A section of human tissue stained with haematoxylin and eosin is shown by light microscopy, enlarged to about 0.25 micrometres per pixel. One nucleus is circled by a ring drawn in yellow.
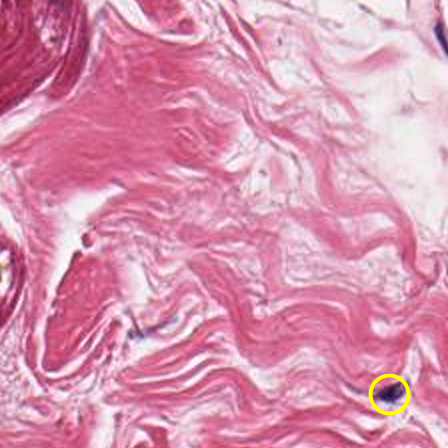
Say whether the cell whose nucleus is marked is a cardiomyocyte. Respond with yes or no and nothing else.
no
